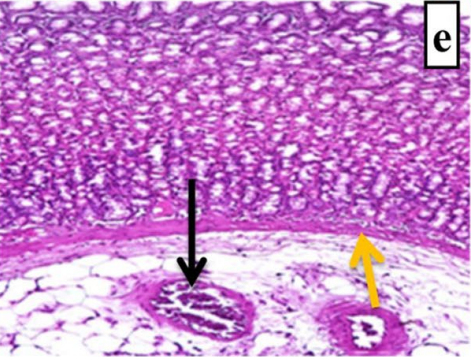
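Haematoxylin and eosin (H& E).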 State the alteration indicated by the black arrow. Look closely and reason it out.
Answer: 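Blood congestion. The arrow points to a vessel in the pale loose layer beneath the glands. The vessel lumen is filled with red blood cells.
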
